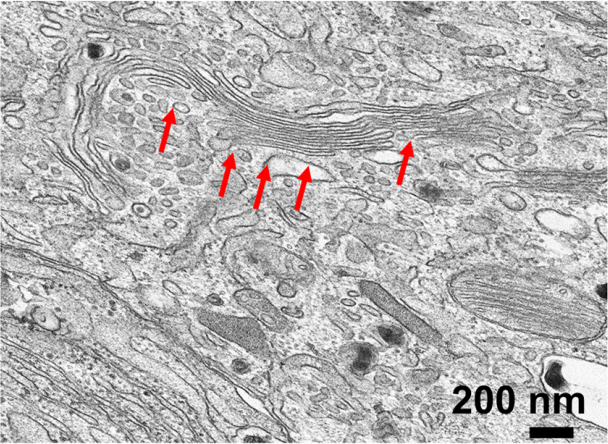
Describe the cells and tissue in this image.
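The stack consists of several long, flat, tightly packed parallel cisternae that run across the middle of the field in a gently curved band. Small round vesicles are scattered along its edges, some of them marked by arrows. Around it lie mitochondria with clearly visible cristae, profiles of rough endoplasmic reticulum in the lower left, and a few small dense granules in the surrounding cytoplasm. The cisternae look slender, with little dilation.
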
